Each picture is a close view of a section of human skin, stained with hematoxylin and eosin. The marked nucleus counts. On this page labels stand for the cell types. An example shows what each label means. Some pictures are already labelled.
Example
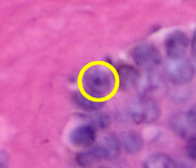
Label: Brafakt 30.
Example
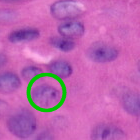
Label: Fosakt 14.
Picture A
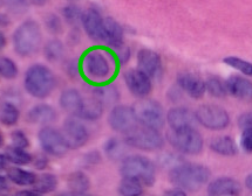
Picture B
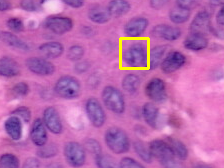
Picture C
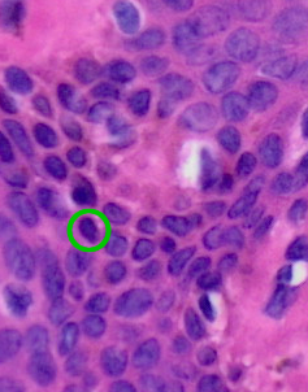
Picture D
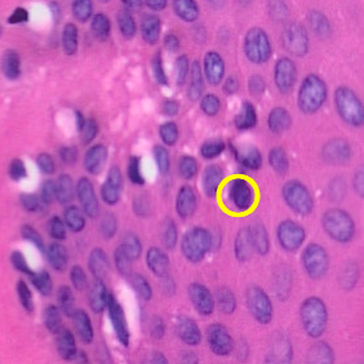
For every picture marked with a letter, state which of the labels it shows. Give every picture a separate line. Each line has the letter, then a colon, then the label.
A: Brafakt 30.
B: Brafakt 30.
C: Brafakt 30.
D: Brafakt 30.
